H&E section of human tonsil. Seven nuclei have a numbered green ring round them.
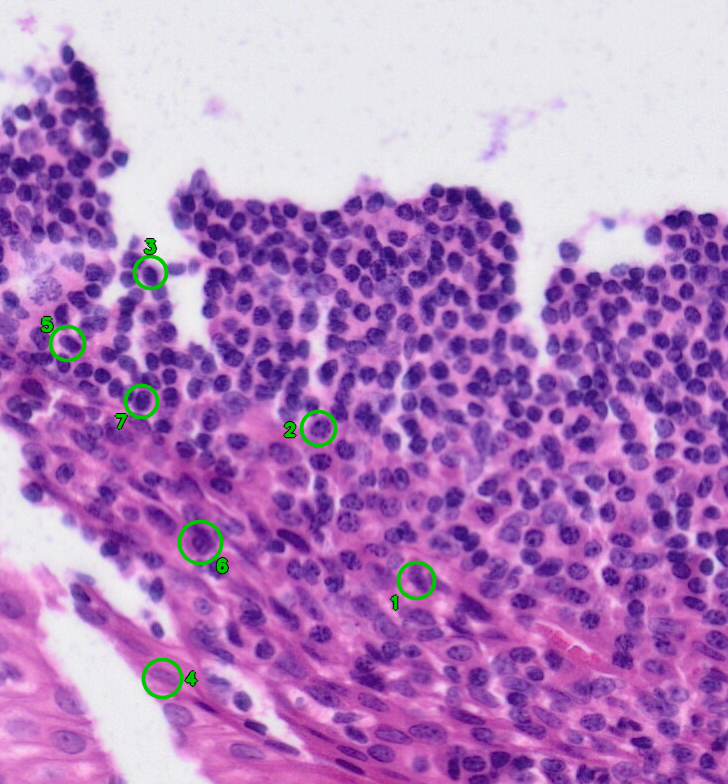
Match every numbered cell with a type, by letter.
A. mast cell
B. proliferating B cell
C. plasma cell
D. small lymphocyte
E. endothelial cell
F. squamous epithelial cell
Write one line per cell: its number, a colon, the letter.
1: F
2: C
3: D
4: F
5: D
6: F
7: D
